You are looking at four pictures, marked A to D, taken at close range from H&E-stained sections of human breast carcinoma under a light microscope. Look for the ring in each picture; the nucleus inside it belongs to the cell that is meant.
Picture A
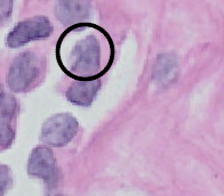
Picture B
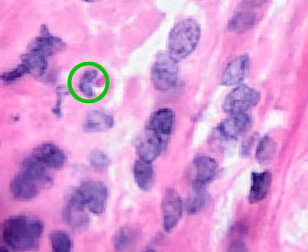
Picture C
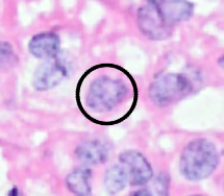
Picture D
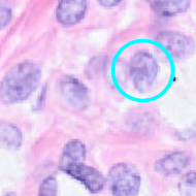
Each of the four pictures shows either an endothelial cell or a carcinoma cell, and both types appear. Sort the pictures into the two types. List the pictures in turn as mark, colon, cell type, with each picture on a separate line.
A: carcinoma cell
B: endothelial cell
C: carcinoma cell
D: carcinoma cell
